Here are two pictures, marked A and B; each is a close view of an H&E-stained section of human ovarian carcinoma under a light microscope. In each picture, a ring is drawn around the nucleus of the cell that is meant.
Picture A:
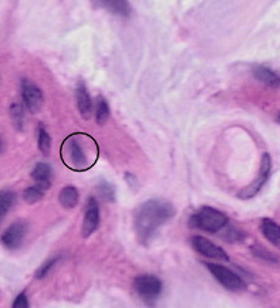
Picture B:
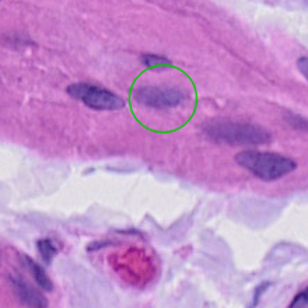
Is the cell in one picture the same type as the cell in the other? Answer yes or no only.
yes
